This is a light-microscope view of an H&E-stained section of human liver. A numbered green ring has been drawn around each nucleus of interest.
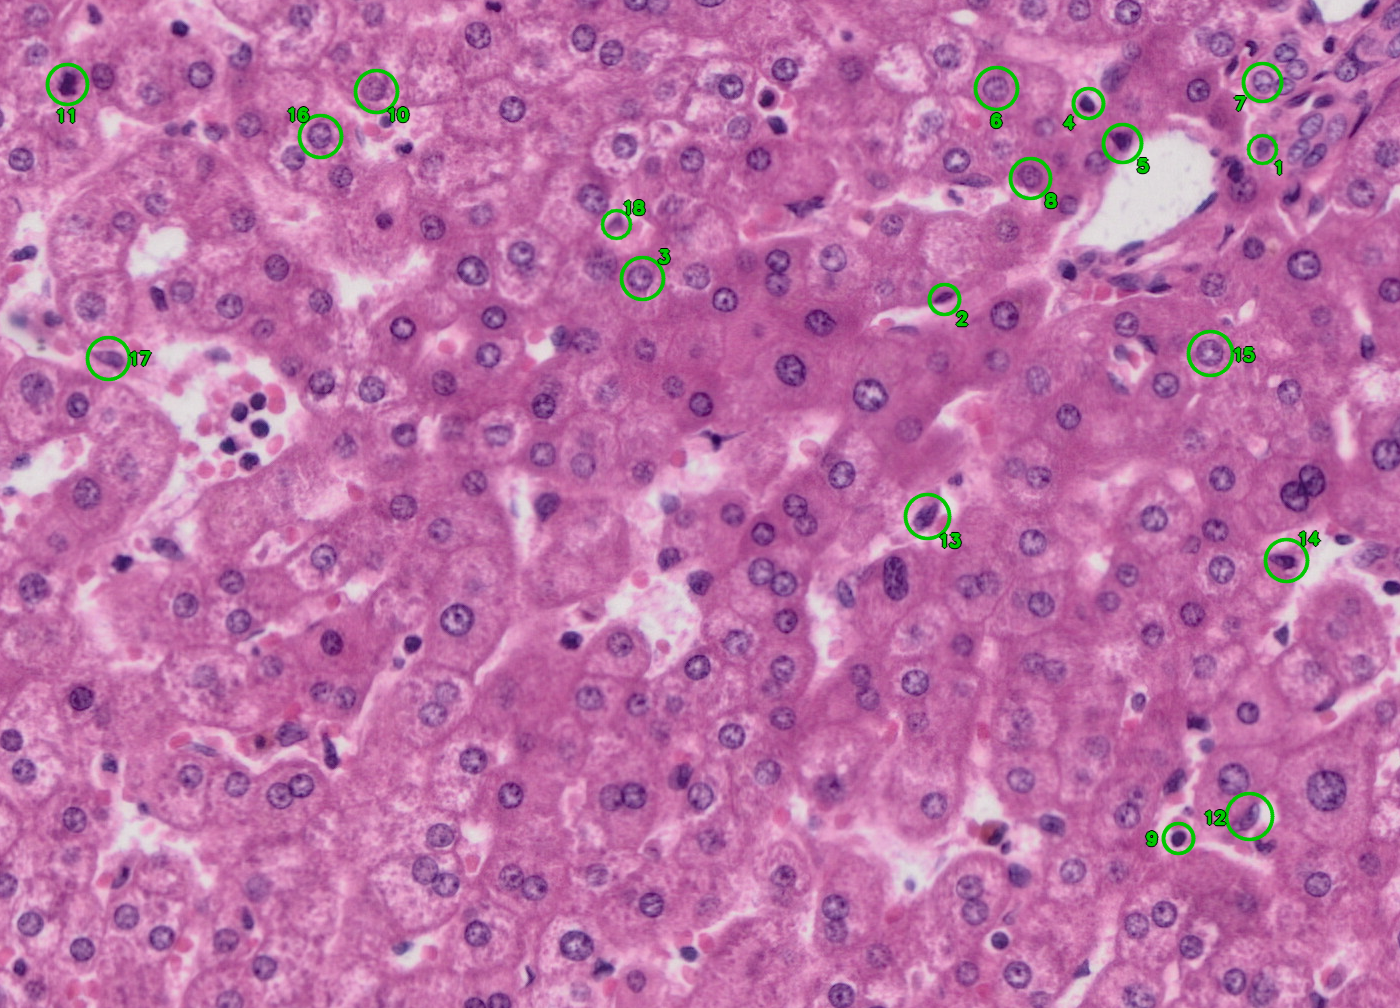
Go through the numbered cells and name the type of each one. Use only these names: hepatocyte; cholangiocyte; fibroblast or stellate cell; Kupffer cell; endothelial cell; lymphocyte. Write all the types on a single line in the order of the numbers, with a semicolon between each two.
fibroblast or stellate cell; fibroblast or stellate cell; hepatocyte; lymphocyte; fibroblast or stellate cell; hepatocyte; cholangiocyte; hepatocyte; lymphocyte; hepatocyte; fibroblast or stellate cell; Kupffer cell; Kupffer cell; fibroblast or stellate cell; hepatocyte; hepatocyte; Kupffer cell; Kupffer cell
